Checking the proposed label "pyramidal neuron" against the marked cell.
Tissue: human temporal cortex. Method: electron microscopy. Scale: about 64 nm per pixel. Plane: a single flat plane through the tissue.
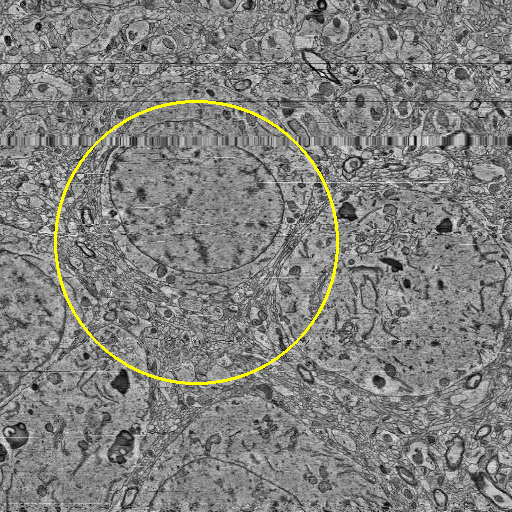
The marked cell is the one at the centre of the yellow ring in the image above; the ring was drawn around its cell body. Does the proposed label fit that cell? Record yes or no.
yes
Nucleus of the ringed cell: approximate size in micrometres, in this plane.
The nucleus measures about 11 by 10 micrometres in this plane.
